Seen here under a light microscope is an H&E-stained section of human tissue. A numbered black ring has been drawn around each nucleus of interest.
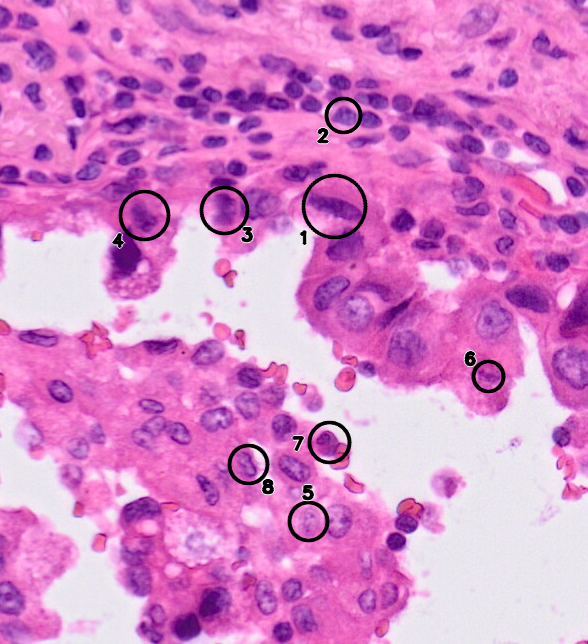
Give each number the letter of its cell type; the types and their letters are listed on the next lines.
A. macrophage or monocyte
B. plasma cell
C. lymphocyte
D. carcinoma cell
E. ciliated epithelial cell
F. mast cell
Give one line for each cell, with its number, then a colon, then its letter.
1: D
2: C
3: D
4: D
5: A
6: D
7: A
8: A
